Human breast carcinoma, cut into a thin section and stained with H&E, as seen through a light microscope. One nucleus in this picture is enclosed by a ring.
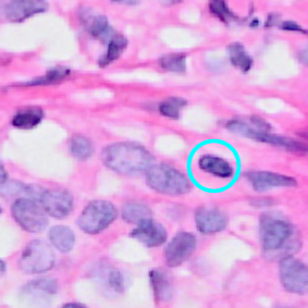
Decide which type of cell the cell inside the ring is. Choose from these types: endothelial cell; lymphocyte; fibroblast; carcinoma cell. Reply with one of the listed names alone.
lymphocyte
